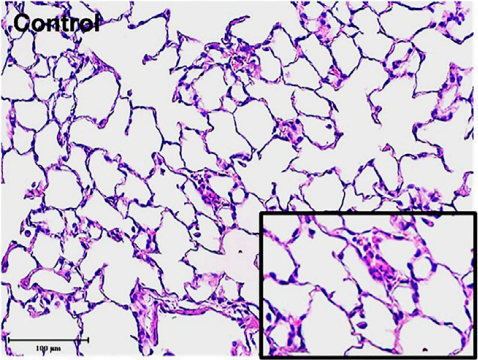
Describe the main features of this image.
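Normal lung parenchyma with thin alveolar septa. Numerous polygonal, empty air spaces are separated by delicate pink walls, each a single thin line with sparse, flattened or oval purple nuclei. Occasional slightly thicker junctions of septa hold a few more nuclei. A small vessel with pink wall appears at lower left.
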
